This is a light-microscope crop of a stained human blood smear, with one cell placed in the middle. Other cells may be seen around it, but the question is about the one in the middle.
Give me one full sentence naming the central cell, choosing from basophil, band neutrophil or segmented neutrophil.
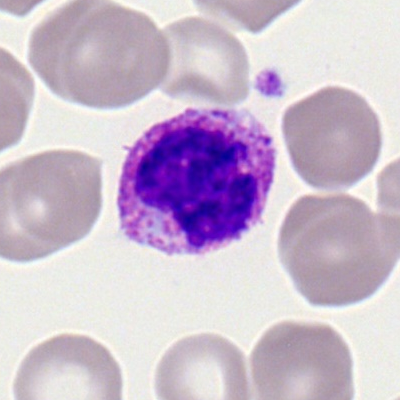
This crop is built around a basophil at its centre.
